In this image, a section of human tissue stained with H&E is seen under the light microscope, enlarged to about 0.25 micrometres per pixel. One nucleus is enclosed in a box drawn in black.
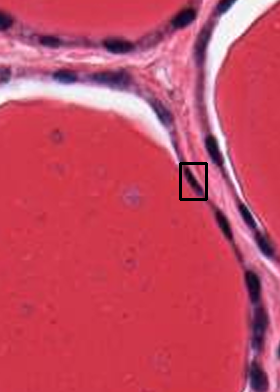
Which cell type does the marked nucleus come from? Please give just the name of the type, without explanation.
thyroid follicular cell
